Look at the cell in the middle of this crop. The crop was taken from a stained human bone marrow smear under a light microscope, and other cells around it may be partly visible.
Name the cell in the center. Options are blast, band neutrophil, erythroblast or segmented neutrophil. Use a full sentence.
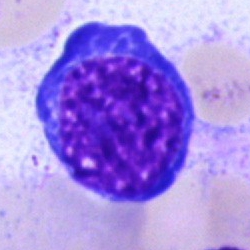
The cell at the middle of the frame should be recorded as an erythroblast.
